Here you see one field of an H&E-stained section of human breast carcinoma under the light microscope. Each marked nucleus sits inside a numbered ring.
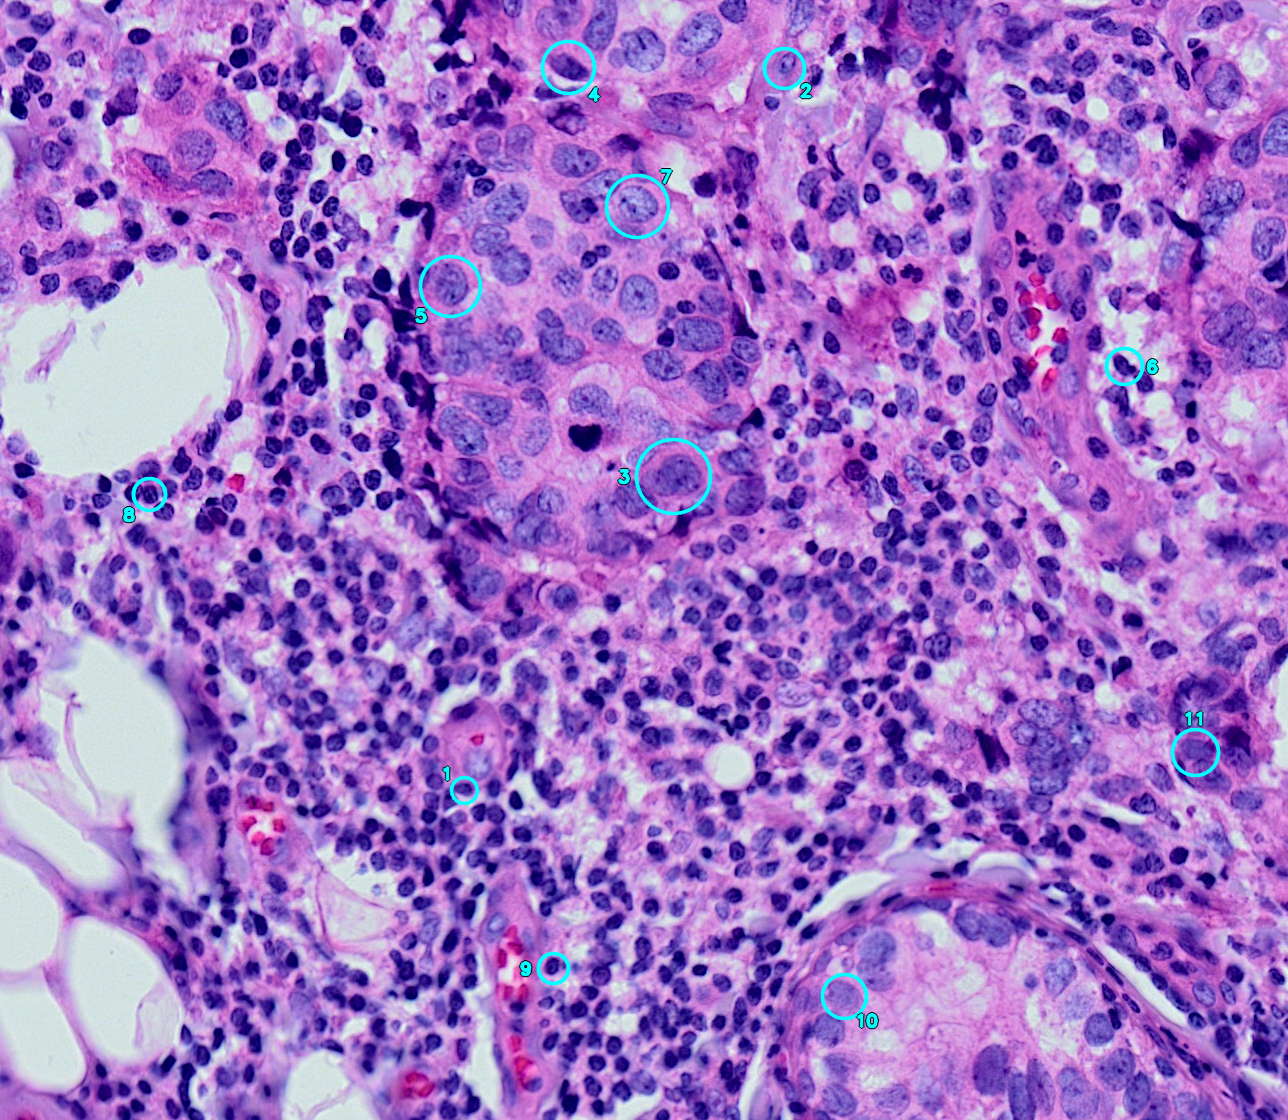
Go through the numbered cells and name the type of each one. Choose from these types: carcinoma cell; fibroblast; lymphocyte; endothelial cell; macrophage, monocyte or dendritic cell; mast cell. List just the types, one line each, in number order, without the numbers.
lymphocyte
endothelial cell
carcinoma cell
carcinoma cell
carcinoma cell
lymphocyte
carcinoma cell
lymphocyte
lymphocyte
carcinoma cell
carcinoma cell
